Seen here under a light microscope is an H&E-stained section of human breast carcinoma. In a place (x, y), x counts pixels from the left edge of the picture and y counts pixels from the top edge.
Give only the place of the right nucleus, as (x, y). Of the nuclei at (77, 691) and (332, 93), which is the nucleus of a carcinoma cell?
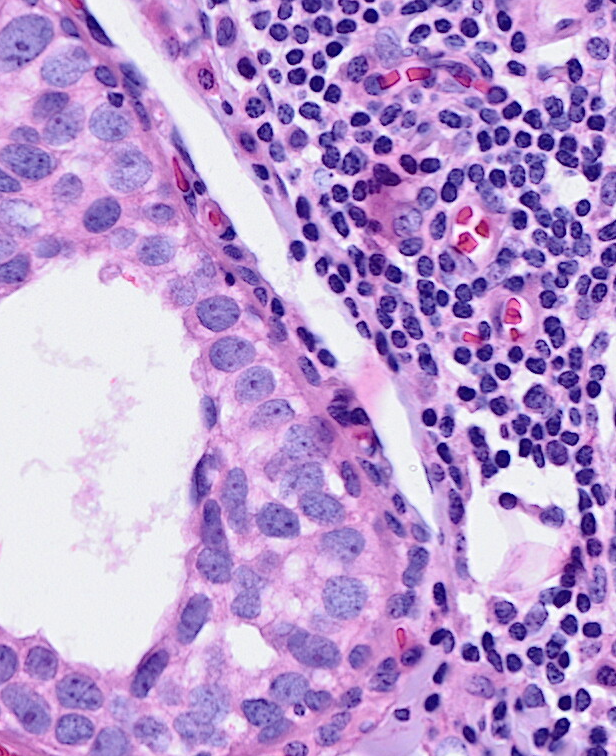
(77, 691)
